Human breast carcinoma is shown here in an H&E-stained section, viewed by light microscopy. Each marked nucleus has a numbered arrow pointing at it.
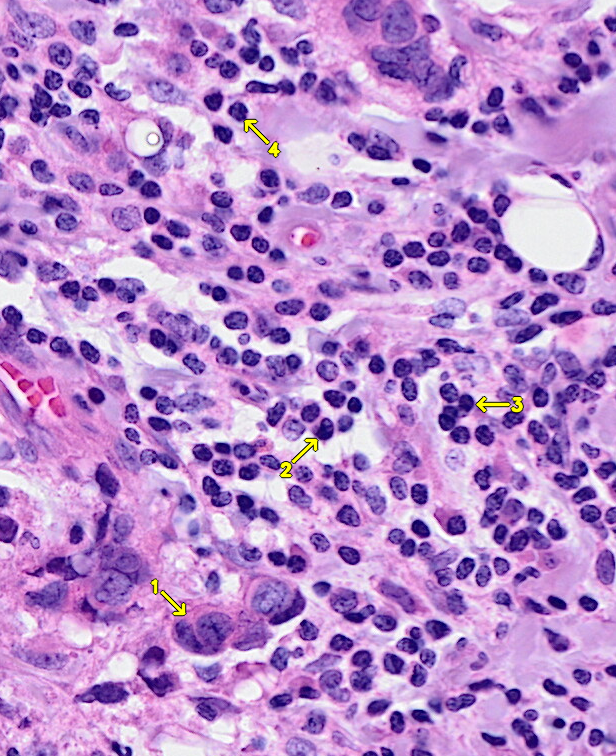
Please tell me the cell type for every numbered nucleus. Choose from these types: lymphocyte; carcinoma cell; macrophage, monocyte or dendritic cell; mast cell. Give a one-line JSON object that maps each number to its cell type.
{"1": "carcinoma cell", "2": "lymphocyte", "3": "lymphocyte", "4": "lymphocyte"}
